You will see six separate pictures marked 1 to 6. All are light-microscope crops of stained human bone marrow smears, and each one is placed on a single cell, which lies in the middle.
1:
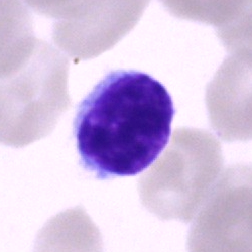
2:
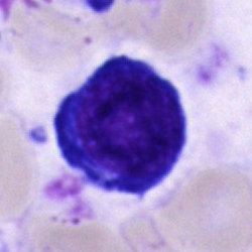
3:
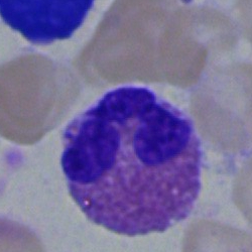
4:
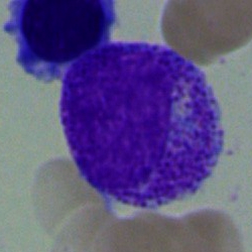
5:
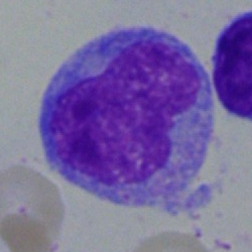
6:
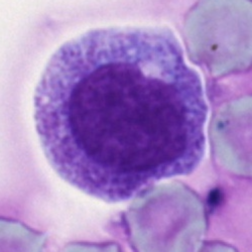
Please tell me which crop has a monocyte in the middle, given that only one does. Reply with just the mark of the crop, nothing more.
5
